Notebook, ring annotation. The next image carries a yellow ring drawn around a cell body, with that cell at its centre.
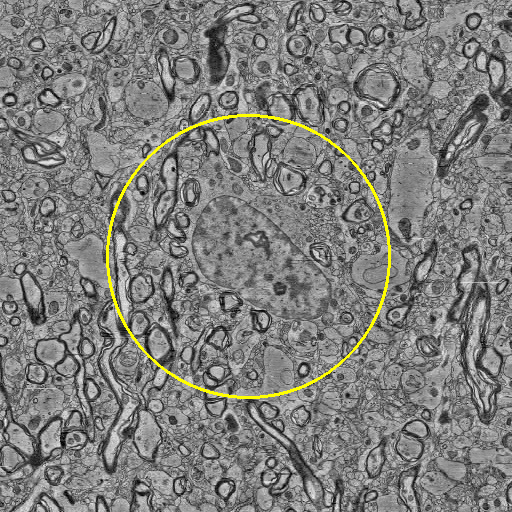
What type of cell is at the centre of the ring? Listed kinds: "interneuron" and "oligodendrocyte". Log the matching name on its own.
oligodendrocyte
